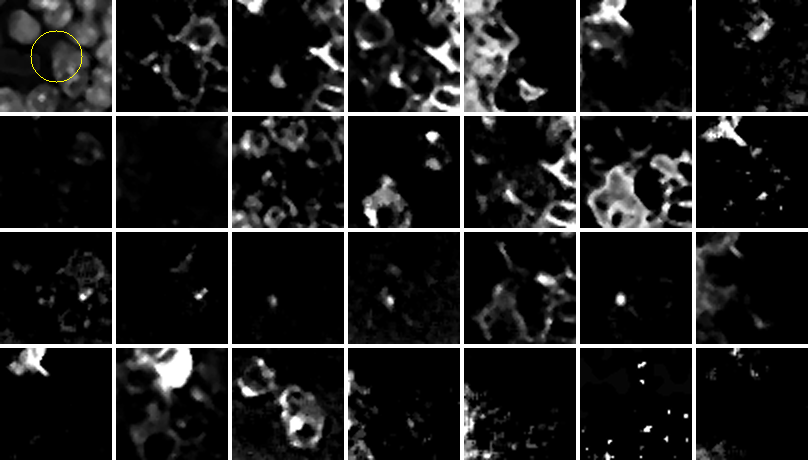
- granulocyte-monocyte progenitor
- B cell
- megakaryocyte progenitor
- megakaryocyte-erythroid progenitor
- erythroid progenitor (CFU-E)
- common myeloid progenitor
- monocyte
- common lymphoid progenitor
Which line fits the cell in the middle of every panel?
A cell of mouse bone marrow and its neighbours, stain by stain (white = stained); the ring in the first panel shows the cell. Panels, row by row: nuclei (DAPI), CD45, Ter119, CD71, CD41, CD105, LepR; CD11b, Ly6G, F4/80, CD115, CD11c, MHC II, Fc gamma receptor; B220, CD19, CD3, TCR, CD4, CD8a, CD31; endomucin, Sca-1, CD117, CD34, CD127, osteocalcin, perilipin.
megakaryocyte-erythroid progenitor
